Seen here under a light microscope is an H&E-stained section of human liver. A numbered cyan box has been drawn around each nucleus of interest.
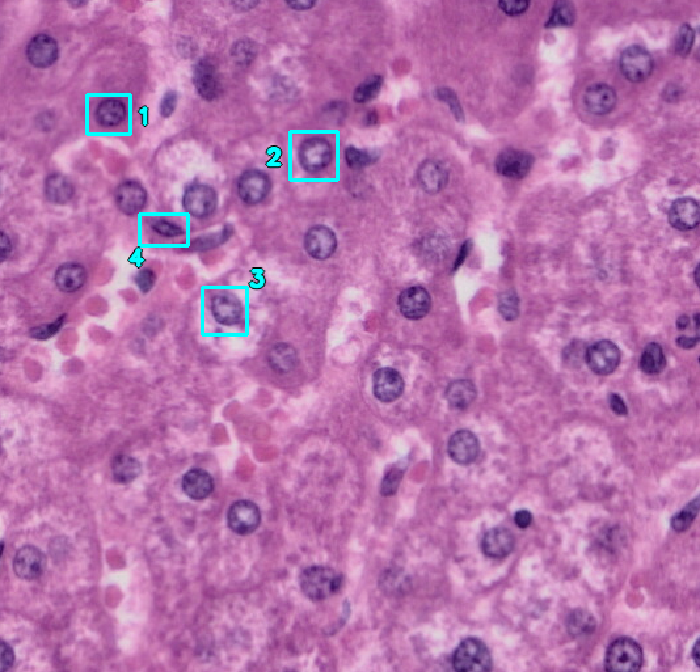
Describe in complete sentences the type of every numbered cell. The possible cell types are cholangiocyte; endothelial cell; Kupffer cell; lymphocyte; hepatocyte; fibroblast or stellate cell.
Cells 1, 2 and 3 are hepatocytes. Cell 4 is a fibroblast or stellate cell.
